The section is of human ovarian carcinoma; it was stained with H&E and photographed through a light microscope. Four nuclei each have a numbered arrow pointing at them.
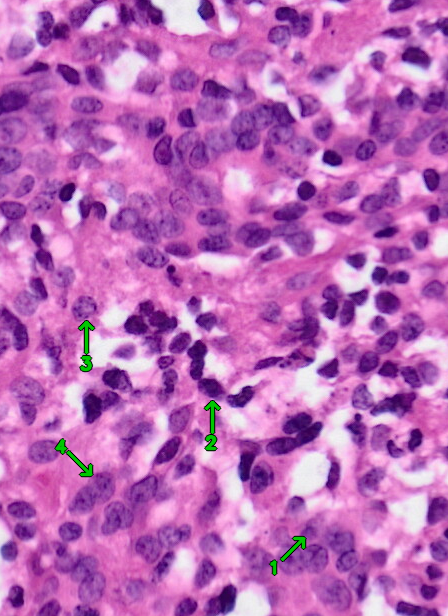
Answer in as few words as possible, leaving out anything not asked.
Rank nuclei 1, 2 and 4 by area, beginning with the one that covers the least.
1, 2, 4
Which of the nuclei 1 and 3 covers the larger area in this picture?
3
